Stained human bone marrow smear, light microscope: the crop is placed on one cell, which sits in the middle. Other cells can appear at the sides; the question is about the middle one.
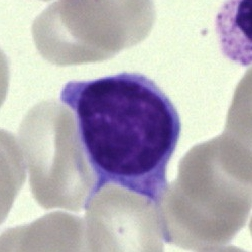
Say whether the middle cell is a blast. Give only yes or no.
no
